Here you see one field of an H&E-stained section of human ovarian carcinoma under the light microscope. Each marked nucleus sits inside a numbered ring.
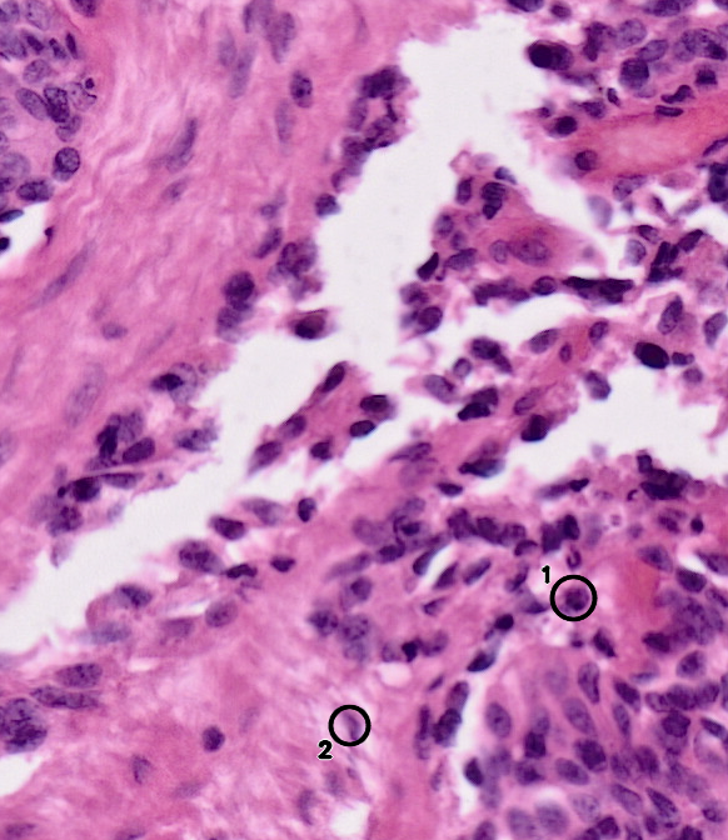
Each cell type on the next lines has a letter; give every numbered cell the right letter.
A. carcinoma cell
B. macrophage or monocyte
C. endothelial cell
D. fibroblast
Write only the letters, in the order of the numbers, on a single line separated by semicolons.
B; D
